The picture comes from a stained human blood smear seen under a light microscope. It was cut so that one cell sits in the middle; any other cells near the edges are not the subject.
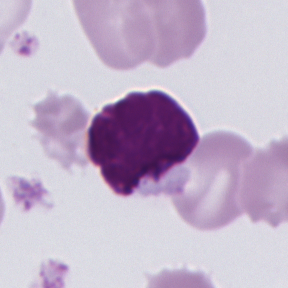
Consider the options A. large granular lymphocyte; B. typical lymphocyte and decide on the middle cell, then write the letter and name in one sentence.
Seen at the centre of the crop is a typical lymphocyte, so option B is correct.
